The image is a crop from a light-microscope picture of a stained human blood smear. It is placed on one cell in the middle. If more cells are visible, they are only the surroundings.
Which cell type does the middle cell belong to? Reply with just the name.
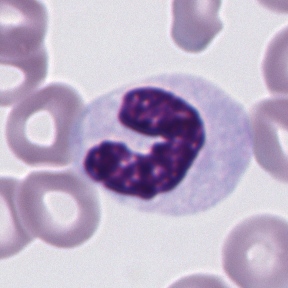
band neutrophil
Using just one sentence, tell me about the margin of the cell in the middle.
Expected answer: a smooth cell outline without projections of any sort.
